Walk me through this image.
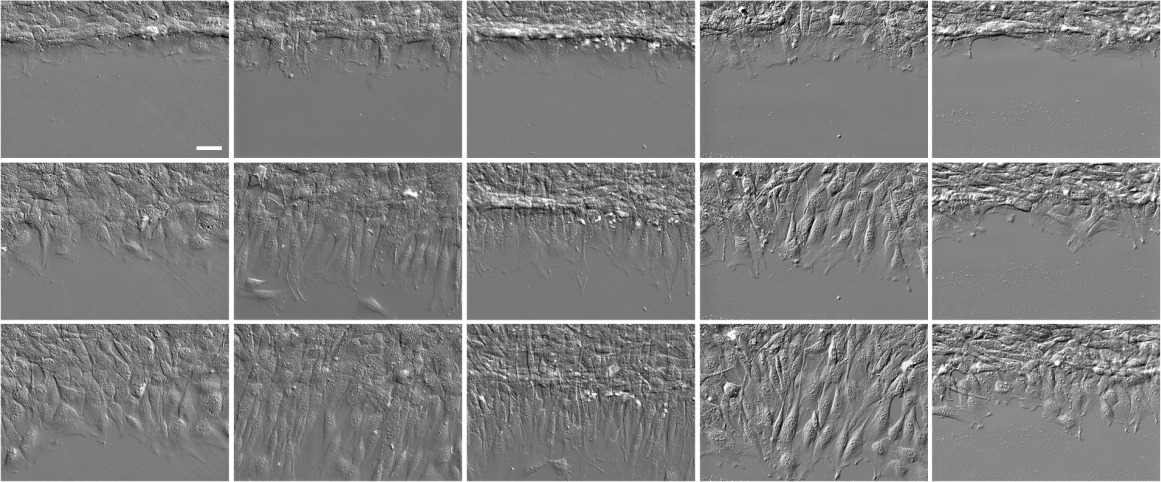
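Cultured cells form a confluent monolayer bordering a scratch wound, seen in relief-like differential interference contrast. At the wound margin many cells are elongated and spindle-shaped, oriented perpendicular to the edge with broad leading lamellae extending into the gap. Over successive rows the front of the sheet advances into the gap to differing extents across the columns, with some columns nearly filling the field. Scattered rounded, bright cells and debris sit along the original wound edge.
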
